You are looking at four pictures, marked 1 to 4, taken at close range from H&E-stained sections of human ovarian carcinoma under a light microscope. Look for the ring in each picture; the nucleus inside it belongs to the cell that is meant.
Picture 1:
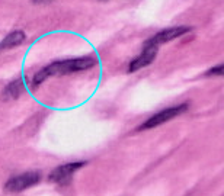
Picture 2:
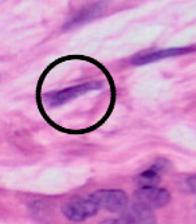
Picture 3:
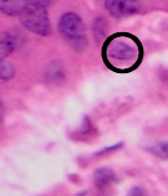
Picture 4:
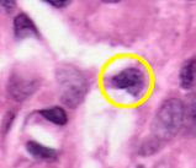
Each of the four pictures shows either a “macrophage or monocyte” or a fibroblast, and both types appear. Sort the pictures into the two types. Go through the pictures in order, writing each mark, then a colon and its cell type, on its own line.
1: fibroblast
2: fibroblast
3: macrophage or monocyte
4: macrophage or monocyte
